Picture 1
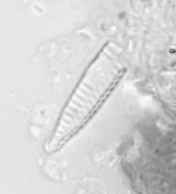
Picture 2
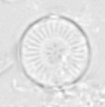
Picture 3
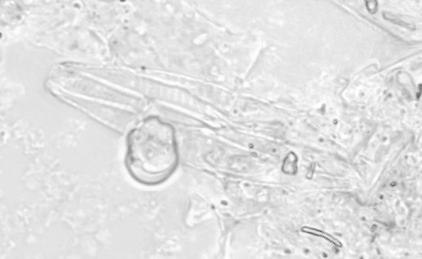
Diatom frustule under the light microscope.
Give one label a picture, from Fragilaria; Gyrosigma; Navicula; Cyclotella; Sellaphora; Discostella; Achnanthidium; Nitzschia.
1: Fragilaria
2: Discostella
3: Navicula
